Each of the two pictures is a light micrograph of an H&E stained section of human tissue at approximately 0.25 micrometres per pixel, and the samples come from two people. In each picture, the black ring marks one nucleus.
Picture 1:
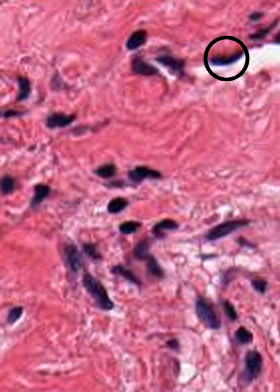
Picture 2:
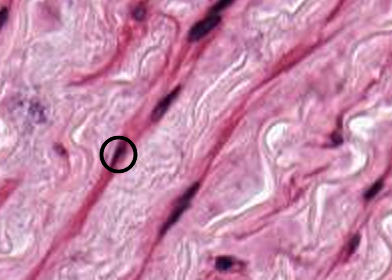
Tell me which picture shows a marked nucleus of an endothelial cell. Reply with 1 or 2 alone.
1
